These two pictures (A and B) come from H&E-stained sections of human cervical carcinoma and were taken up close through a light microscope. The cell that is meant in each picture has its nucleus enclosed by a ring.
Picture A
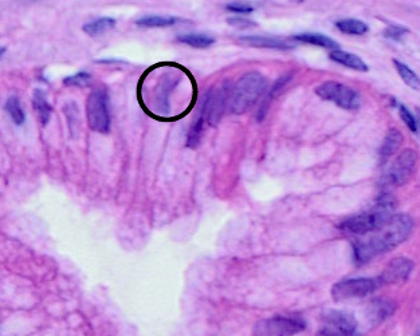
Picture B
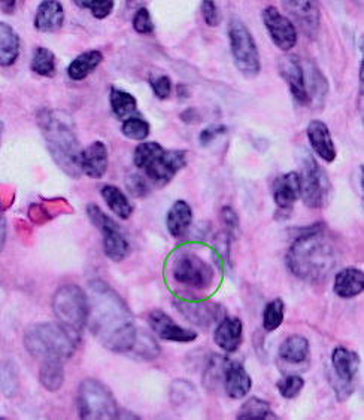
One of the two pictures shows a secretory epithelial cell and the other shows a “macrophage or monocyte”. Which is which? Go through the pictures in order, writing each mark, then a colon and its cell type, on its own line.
A: secretory epithelial cell
B: macrophage or monocyte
